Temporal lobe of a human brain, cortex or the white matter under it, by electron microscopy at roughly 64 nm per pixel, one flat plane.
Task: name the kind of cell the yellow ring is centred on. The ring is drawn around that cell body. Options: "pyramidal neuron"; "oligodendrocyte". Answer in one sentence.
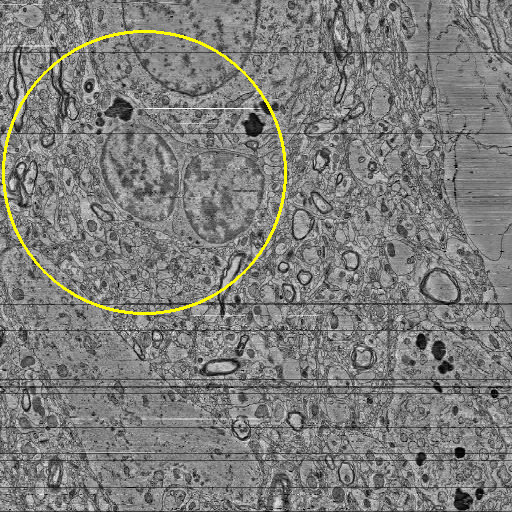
This cell body belongs to an oligodendrocyte.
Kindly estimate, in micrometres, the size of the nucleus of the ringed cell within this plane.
In this plane the nucleus measures roughly 7 by 5 micrometers.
